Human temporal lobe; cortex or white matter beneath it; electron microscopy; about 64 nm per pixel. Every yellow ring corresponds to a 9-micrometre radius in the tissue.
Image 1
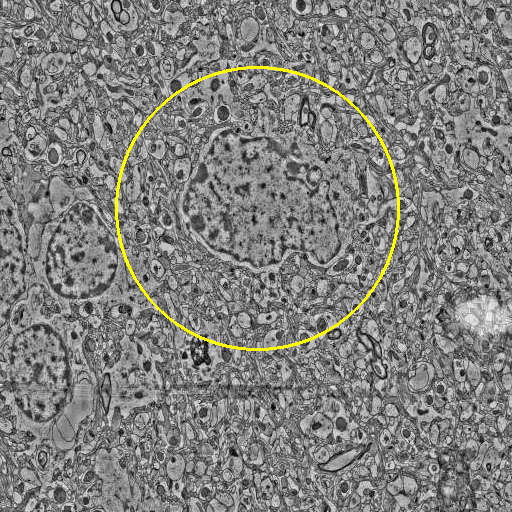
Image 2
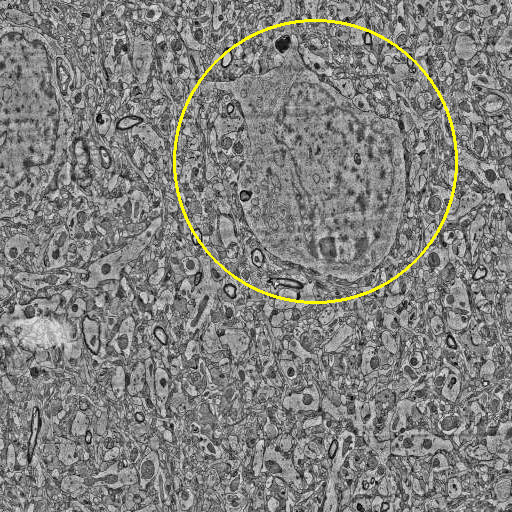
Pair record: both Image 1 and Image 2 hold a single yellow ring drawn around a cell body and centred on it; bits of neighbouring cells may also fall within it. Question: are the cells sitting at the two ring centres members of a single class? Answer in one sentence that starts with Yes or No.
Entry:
No, the ring-centre cells in Image 1 and Image 2 come from two classes.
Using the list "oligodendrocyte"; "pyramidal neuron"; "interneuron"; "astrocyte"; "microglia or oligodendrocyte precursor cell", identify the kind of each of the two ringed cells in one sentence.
The first is a microglial cell or oligodendrocyte precursor cell and the second is an interneuron.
